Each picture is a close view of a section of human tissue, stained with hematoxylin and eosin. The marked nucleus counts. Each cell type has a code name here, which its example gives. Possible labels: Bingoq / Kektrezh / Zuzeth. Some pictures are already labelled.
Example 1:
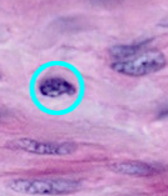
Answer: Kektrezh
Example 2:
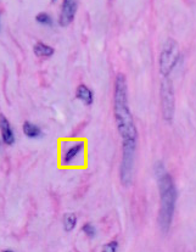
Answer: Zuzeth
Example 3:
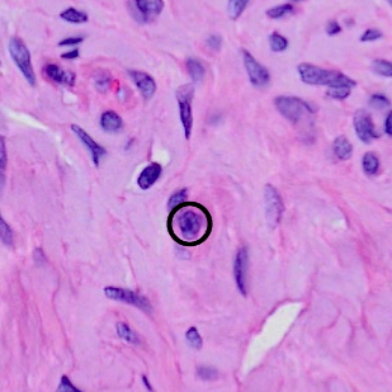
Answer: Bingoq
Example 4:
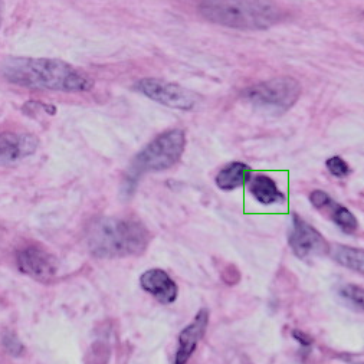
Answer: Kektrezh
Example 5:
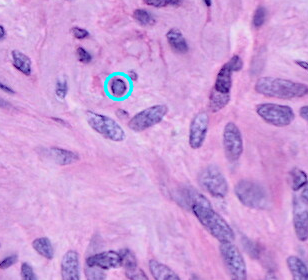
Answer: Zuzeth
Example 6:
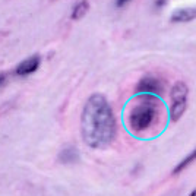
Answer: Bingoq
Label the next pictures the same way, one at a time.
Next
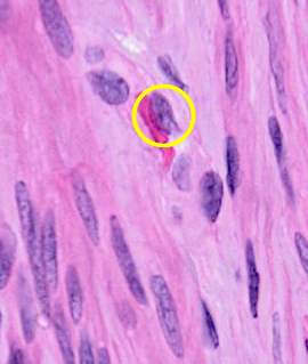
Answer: Bingoq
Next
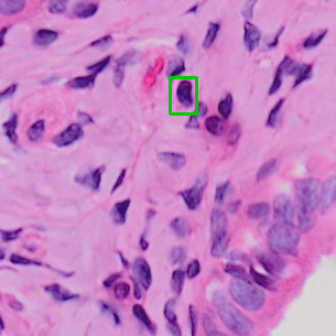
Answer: Kektrezh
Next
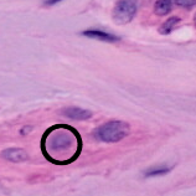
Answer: Zuzeth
